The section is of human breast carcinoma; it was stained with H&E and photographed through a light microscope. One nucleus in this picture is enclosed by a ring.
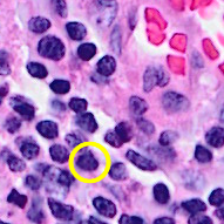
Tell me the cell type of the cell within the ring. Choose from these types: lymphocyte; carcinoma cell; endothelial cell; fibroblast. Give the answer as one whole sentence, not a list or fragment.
For cell typing purposes, the cell within the ring is a lymphocyte.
